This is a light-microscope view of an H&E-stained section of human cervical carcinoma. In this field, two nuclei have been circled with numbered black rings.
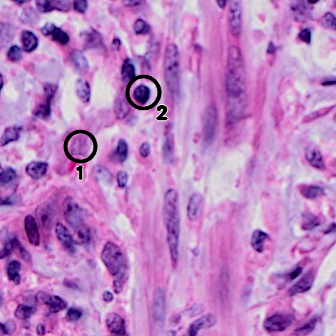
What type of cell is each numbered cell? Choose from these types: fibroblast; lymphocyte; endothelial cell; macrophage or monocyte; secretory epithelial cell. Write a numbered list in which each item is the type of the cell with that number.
1. endothelial cell
2. lymphocyte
